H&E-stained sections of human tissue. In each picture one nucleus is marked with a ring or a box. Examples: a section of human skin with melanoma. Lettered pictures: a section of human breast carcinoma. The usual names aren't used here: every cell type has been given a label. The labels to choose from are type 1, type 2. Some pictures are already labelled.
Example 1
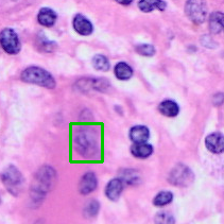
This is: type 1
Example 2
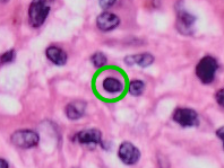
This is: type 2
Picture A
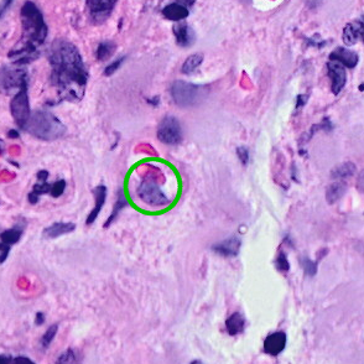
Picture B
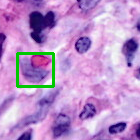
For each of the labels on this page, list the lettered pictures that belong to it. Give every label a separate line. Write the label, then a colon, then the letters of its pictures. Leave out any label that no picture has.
type 1: A, B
